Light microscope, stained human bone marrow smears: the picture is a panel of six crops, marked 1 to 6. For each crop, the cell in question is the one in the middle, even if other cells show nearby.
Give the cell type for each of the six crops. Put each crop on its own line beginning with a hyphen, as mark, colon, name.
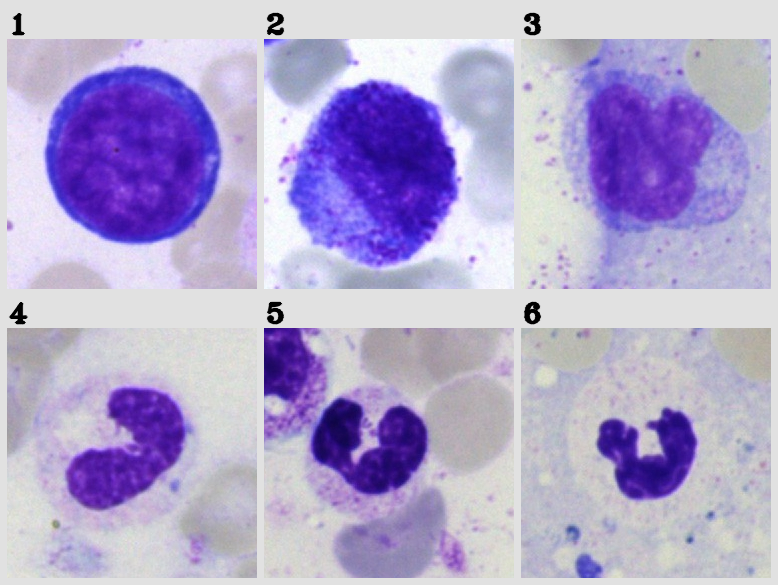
- 1: proerythroblast
- 2: promyelocyte
- 3: monocyte
- 4: band neutrophil
- 5: segmented neutrophil
- 6: segmented neutrophil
